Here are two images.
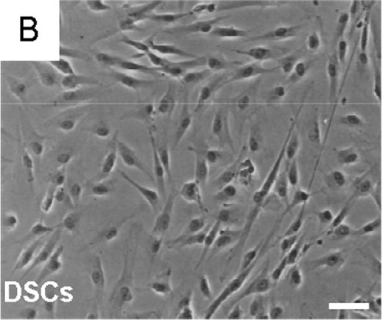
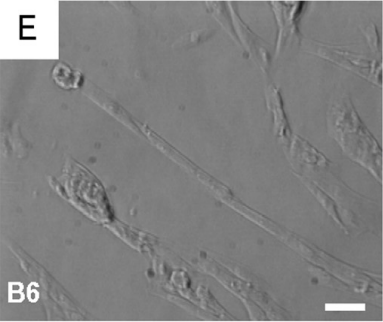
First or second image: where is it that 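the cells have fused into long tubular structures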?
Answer: The second image.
